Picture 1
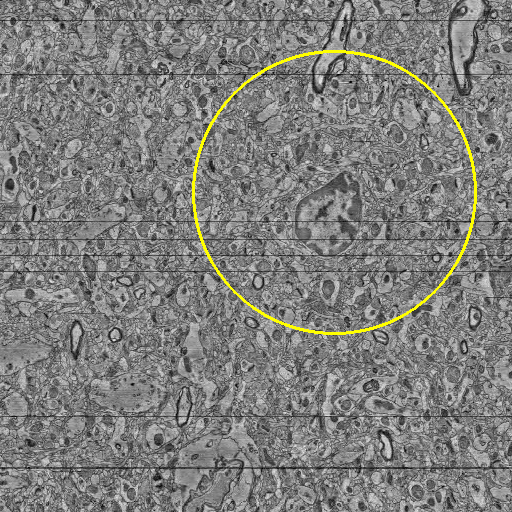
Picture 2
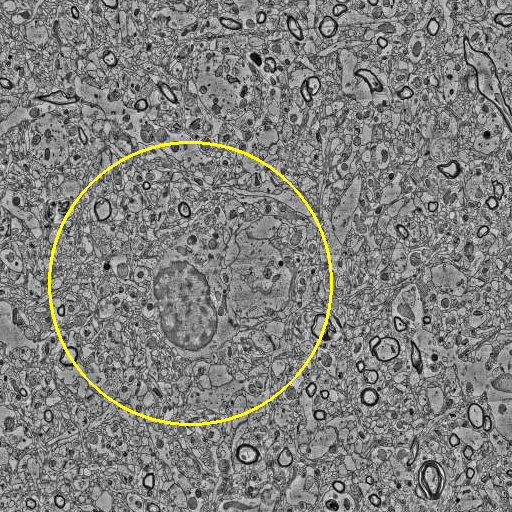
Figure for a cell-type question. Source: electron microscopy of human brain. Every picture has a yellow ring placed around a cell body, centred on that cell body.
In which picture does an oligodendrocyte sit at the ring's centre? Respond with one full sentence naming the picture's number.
The cell in the middle of the ring in picture 2 is the one sought.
